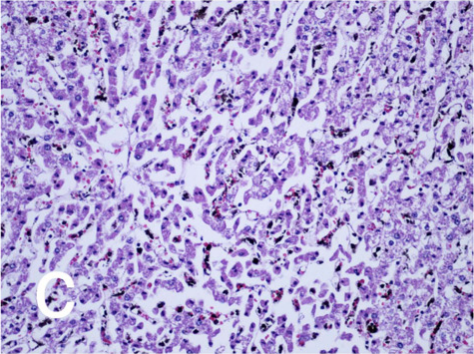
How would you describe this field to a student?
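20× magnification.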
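This is liver in which the hepatocyte cords have come apart: the pink hepatocytes lie singly or in small clumps separated by wide empty spaces instead of forming continuous plates. Many cells have irregular, shrunken outlines, and scattered dark brown-black granular deposits lie among them.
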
